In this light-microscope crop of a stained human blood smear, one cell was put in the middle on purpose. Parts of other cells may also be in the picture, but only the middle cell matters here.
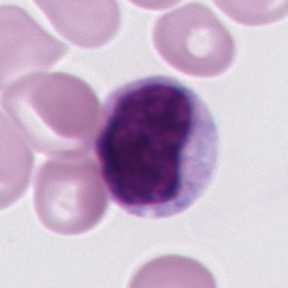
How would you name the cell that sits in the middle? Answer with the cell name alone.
metamyelocyte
